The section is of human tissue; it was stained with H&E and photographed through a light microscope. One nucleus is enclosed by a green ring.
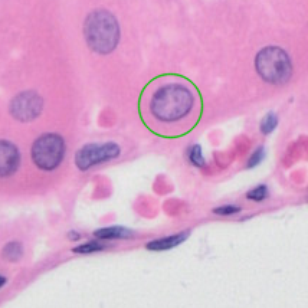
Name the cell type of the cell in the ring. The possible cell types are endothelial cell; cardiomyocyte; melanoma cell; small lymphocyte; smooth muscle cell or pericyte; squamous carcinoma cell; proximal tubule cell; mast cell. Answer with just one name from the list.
proximal tubule cell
